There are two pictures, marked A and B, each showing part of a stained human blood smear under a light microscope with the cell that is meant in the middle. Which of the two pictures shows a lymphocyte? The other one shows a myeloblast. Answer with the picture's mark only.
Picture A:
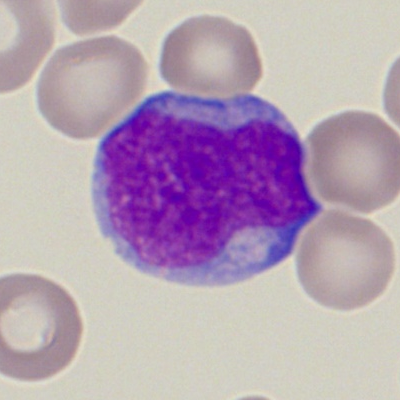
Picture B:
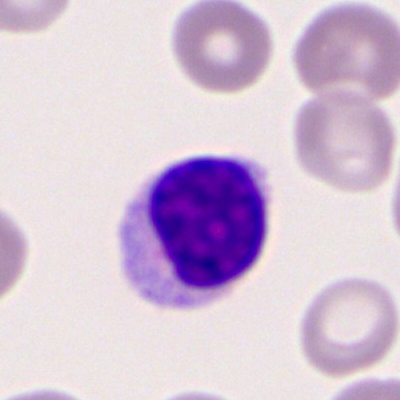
B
